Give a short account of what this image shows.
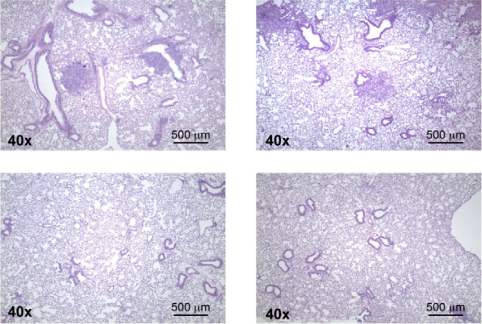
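Low-power sections of lung show a fine, lacy network of thin alveolar walls, interrupted by bronchioles and blood vessels with thicker, purple-stained walls. In the upper images, compact, densely cellular, dark purple nodules sit within the parenchyma next to airways and vessels, effacing the surrounding alveolar spaces. The lower images show mostly open alveolar tissue with scattered airways and no comparable nodules.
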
